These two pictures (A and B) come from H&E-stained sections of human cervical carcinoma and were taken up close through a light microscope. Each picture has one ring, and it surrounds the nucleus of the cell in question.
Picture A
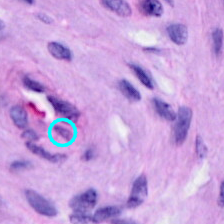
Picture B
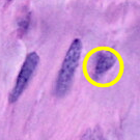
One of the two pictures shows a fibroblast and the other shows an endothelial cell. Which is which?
A: endothelial cell
B: fibroblast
